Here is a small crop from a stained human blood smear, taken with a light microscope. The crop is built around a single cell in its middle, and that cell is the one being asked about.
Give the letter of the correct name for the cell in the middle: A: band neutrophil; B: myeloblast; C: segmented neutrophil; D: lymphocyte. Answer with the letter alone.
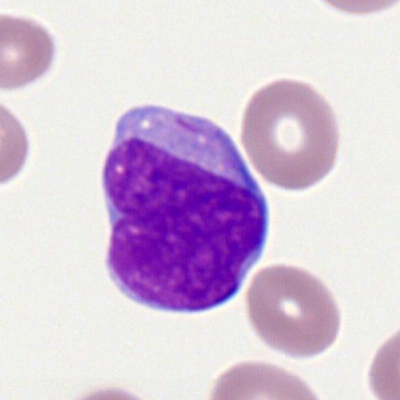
B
